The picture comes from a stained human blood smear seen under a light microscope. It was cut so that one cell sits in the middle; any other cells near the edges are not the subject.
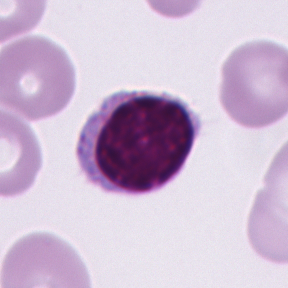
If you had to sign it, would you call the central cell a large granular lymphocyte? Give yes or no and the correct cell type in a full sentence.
No, the central cell qualifies as a typical lymphocyte rather than as a large granular lymphocyte.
